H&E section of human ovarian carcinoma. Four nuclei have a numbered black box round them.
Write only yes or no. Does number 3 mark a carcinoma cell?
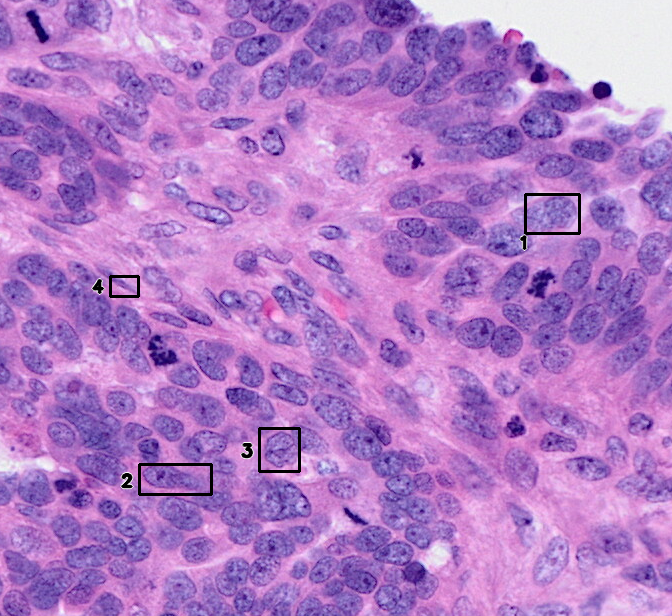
yes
